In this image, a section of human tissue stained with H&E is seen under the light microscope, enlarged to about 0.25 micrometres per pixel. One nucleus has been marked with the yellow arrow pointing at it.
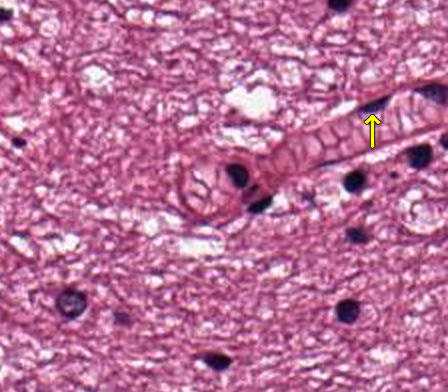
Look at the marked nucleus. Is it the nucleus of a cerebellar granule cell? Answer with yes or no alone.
no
